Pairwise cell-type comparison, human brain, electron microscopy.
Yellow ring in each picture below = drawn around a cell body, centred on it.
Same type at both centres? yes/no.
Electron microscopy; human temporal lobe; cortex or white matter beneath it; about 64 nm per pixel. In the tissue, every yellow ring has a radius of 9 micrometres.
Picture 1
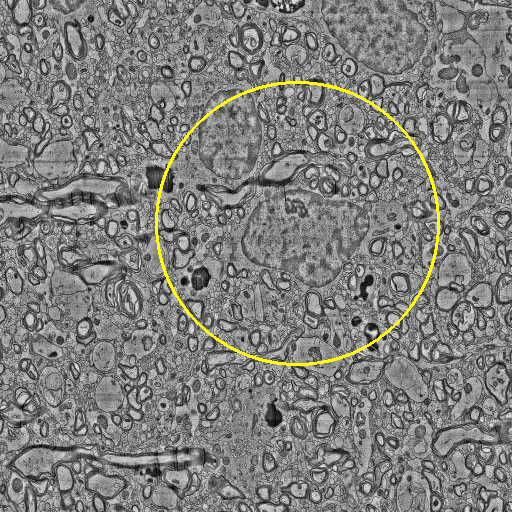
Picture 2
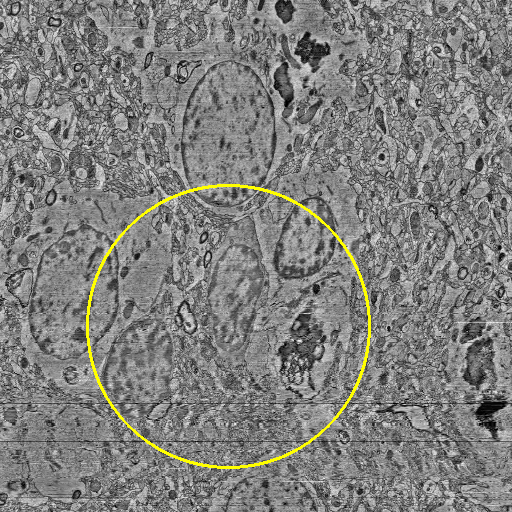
yes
